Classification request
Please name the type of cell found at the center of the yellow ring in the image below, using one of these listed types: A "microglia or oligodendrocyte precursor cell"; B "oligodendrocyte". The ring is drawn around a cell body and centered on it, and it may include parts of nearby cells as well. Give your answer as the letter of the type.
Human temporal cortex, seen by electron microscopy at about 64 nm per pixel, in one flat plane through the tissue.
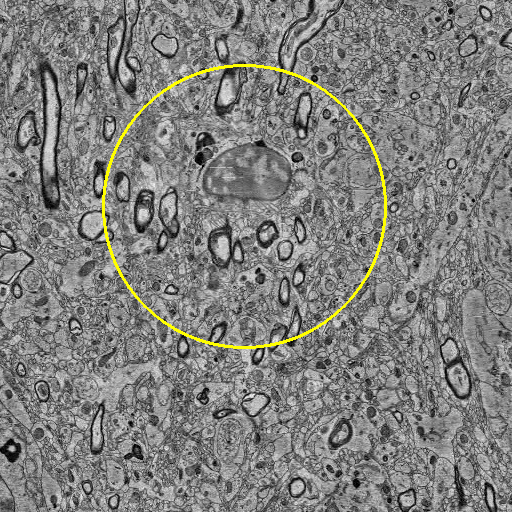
A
